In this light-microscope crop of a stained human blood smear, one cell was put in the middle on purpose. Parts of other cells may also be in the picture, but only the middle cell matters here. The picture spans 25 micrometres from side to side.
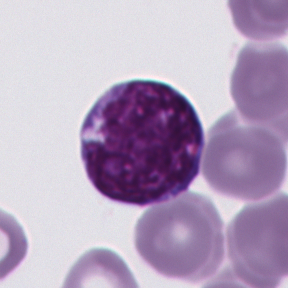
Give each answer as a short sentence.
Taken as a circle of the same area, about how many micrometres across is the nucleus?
It measures about 10 micrometres across.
